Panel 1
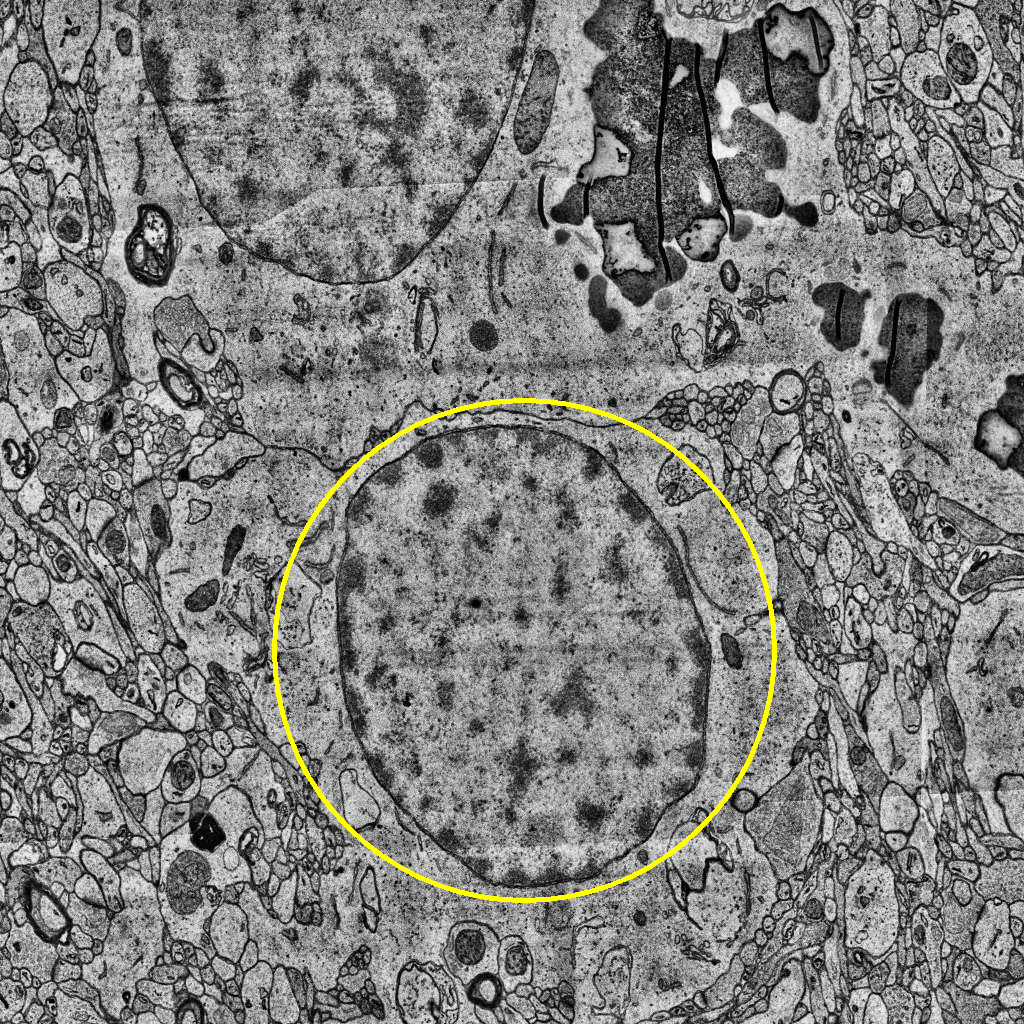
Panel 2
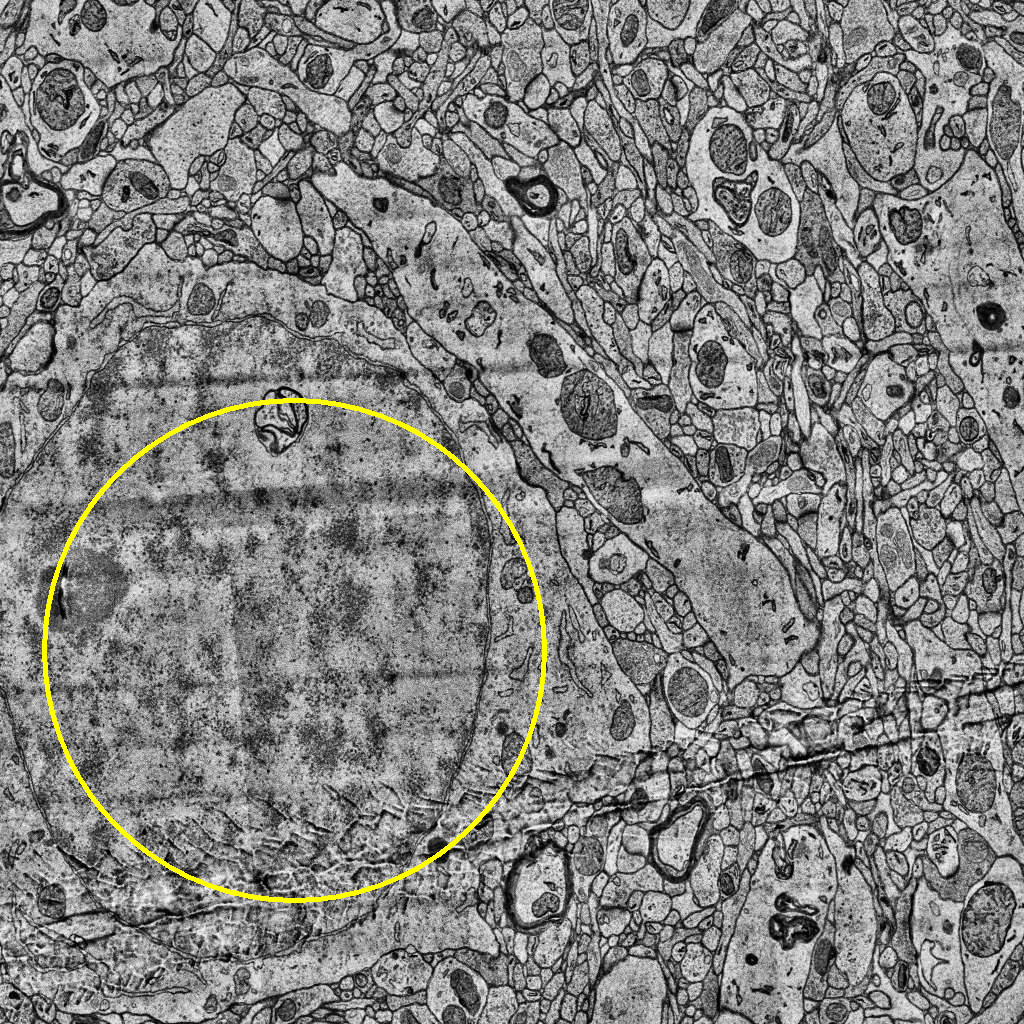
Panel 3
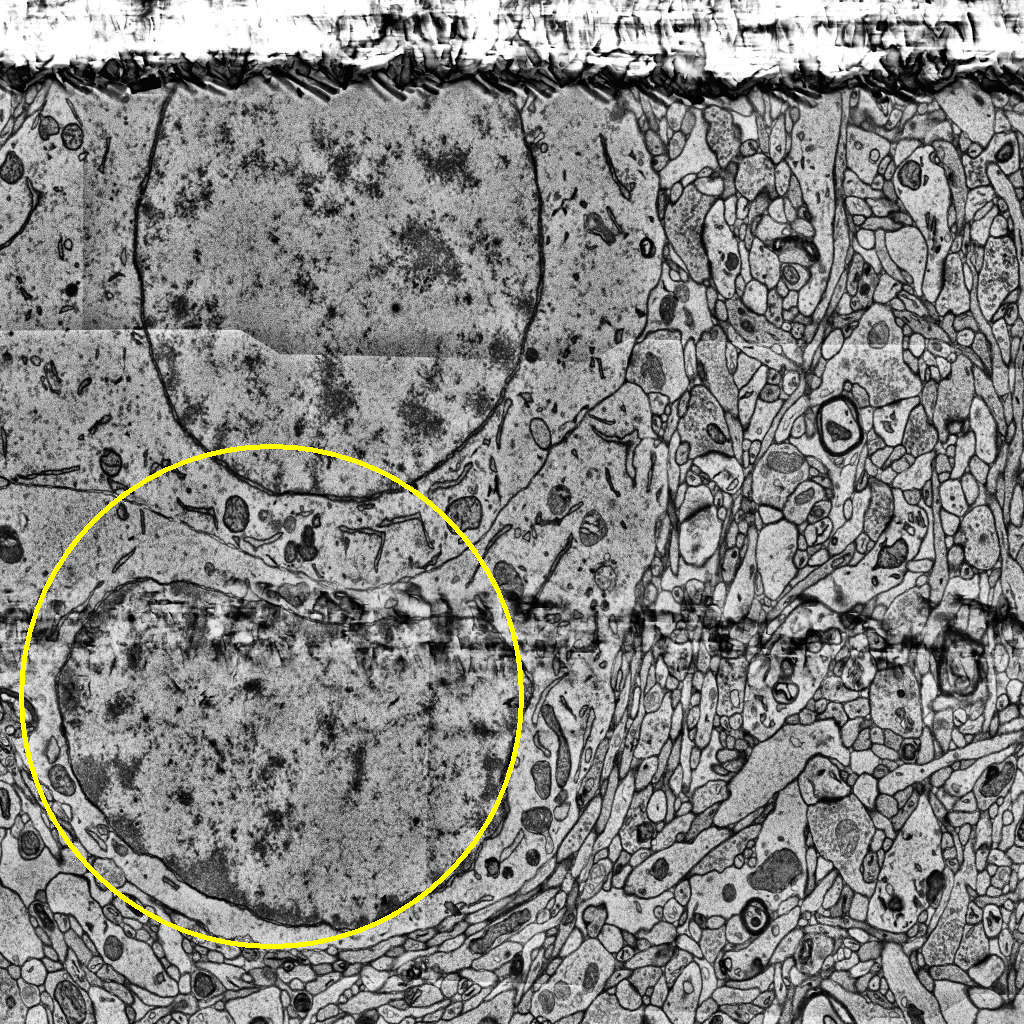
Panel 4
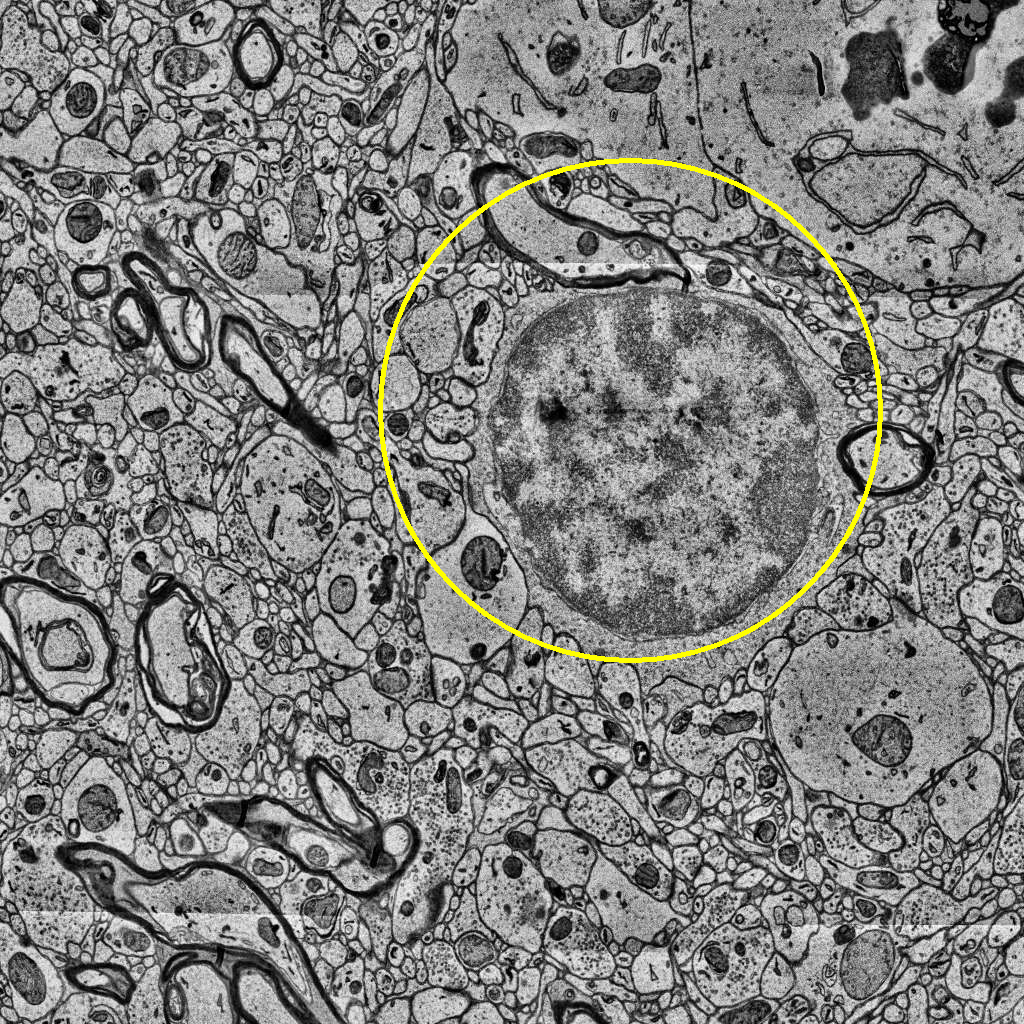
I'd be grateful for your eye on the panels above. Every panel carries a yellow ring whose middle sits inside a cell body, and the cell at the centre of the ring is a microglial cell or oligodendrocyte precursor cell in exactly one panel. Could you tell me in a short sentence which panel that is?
Panel 3 is the one with it at the centre of the ring.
